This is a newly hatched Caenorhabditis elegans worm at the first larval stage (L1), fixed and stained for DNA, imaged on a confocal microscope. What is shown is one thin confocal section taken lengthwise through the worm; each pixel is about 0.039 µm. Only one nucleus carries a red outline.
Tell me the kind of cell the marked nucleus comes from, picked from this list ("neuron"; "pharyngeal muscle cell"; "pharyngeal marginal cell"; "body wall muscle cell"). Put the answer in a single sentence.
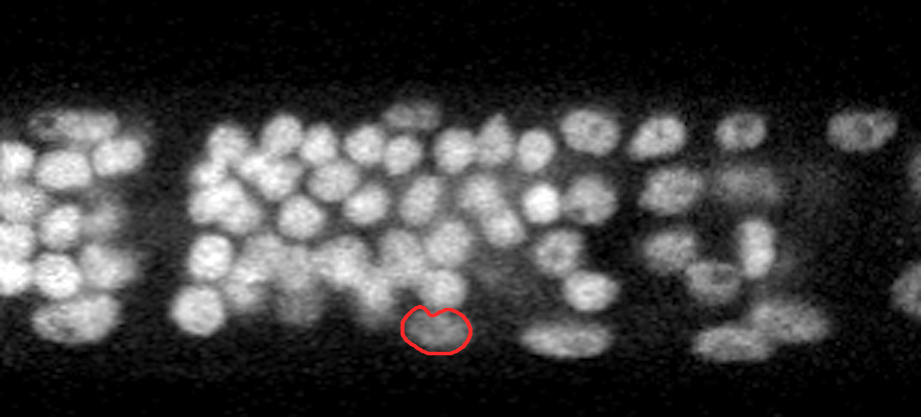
The marked nucleus belongs to a body wall muscle cell.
